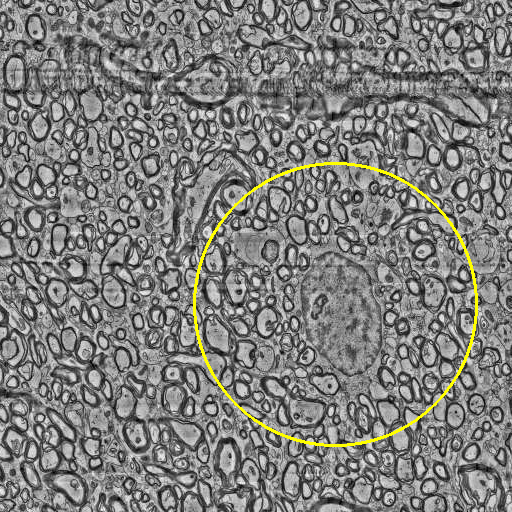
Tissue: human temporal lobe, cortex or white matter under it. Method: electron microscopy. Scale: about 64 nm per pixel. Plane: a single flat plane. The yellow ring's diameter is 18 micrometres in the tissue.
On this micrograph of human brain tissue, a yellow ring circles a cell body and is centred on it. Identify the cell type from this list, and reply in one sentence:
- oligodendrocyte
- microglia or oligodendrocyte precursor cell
The cell at the centre is an oligodendrocyte.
